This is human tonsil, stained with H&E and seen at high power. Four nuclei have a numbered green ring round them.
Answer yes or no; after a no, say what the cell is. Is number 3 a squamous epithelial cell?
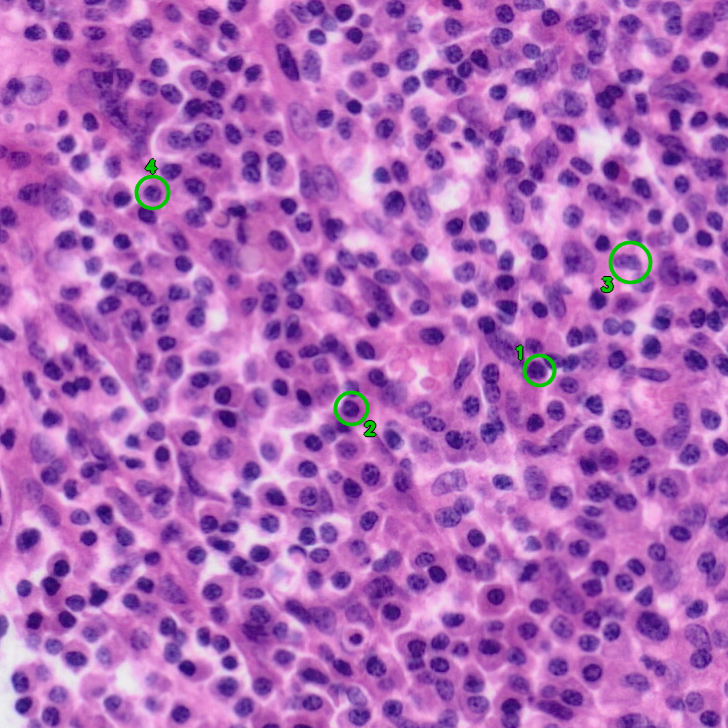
Yes.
